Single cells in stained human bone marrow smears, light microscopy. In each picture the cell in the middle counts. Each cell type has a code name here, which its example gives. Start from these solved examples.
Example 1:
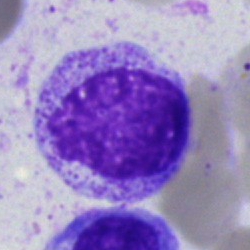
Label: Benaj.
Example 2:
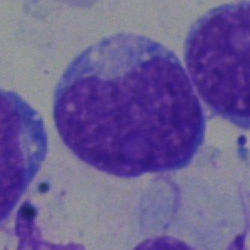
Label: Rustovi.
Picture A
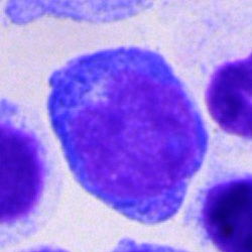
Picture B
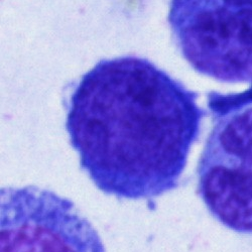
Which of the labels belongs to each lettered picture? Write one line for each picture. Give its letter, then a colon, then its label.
A: Rustovi.
B: Rustovi.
